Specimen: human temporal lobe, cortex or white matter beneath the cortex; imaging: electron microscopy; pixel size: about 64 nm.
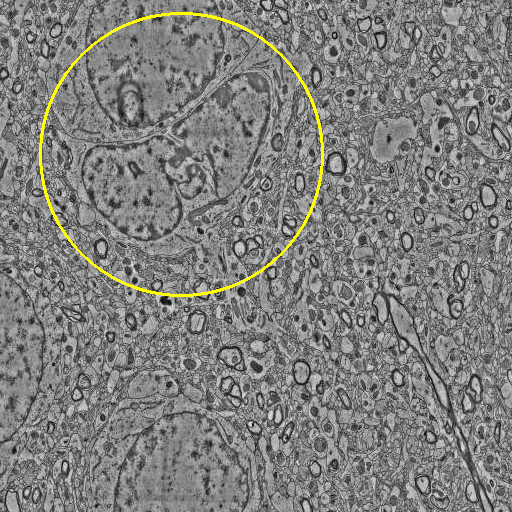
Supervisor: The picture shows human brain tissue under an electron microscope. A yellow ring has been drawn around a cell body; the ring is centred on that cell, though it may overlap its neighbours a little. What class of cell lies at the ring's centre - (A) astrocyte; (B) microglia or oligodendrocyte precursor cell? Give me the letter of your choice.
B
